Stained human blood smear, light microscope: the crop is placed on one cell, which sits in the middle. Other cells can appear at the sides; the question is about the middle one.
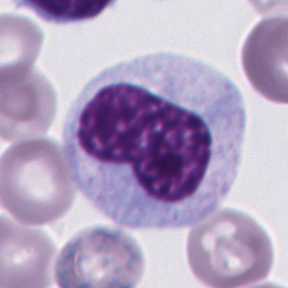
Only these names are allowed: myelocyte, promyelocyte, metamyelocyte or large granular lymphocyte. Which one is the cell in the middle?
metamyelocyte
